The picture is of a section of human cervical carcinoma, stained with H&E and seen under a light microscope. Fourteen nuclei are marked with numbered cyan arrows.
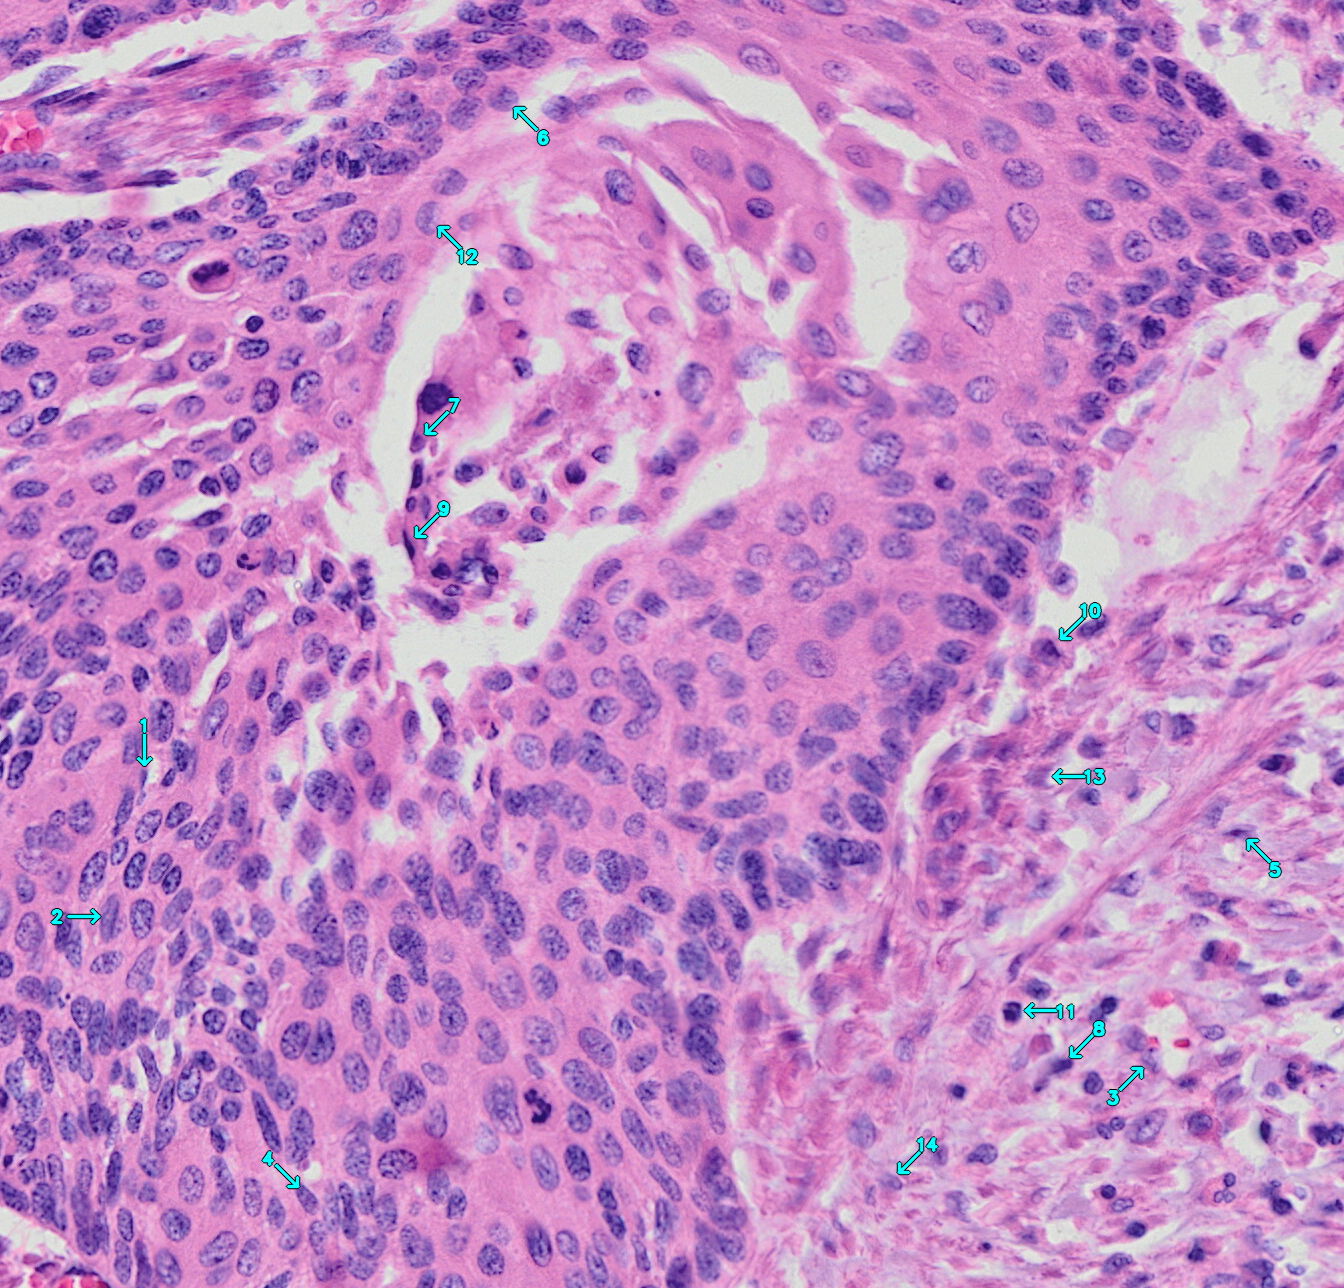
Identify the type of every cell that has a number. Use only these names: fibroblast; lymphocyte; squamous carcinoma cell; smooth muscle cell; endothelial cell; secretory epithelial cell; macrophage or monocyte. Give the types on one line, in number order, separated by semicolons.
squamous carcinoma cell; squamous carcinoma cell; endothelial cell; squamous carcinoma cell; fibroblast; squamous carcinoma cell; squamous carcinoma cell; lymphocyte; squamous carcinoma cell; macrophage or monocyte; lymphocyte; squamous carcinoma cell; fibroblast; fibroblast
